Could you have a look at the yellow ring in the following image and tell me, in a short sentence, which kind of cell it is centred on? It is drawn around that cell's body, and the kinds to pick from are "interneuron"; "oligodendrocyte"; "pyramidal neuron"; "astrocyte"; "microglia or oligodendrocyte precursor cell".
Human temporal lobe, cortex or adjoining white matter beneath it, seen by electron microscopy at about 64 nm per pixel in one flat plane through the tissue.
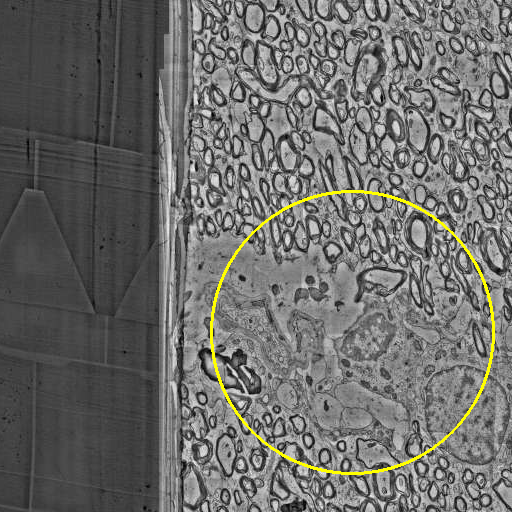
The ring is centred on the body of an oligodendrocyte.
